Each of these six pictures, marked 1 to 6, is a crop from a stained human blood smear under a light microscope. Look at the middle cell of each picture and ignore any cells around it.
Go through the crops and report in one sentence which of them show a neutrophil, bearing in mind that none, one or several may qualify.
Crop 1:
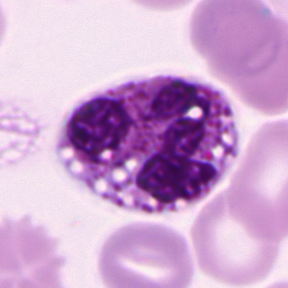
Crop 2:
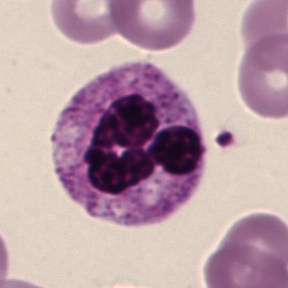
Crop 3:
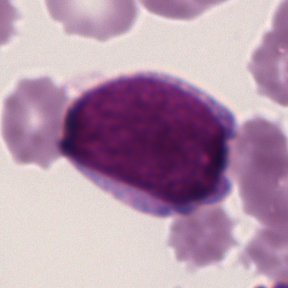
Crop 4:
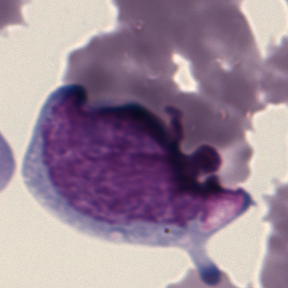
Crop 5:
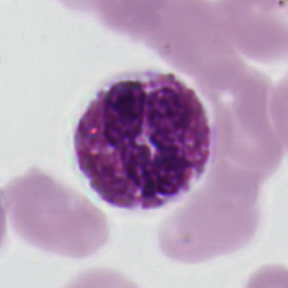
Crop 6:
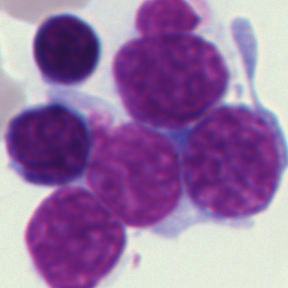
Crop 2 is unique in this set in showing a neutrophil.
